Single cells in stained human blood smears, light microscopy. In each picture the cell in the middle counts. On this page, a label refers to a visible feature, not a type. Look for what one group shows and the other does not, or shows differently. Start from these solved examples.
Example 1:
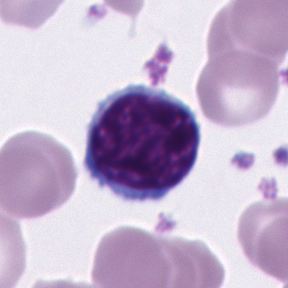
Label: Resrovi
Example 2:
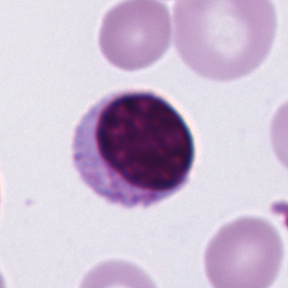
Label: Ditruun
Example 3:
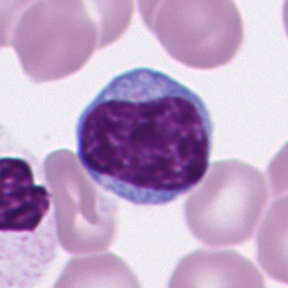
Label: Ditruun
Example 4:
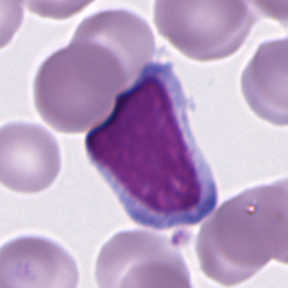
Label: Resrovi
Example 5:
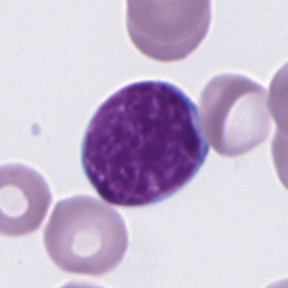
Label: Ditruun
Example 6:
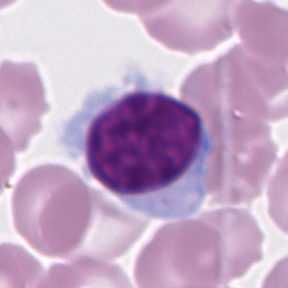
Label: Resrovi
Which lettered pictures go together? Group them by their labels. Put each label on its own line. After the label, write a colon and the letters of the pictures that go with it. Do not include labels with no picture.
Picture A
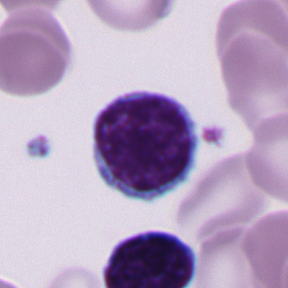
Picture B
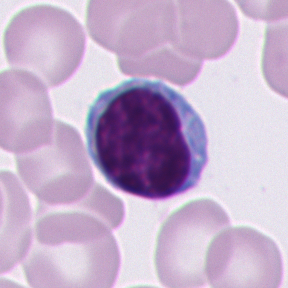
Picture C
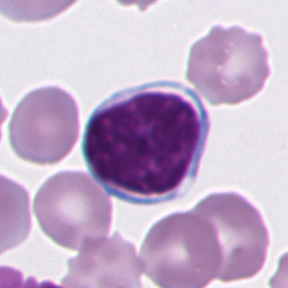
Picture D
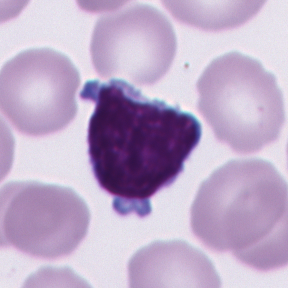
Resrovi: D
Ditruun: A, B, C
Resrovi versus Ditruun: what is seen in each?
Resrovi, ragged outline or projections; Ditruun, smooth outline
